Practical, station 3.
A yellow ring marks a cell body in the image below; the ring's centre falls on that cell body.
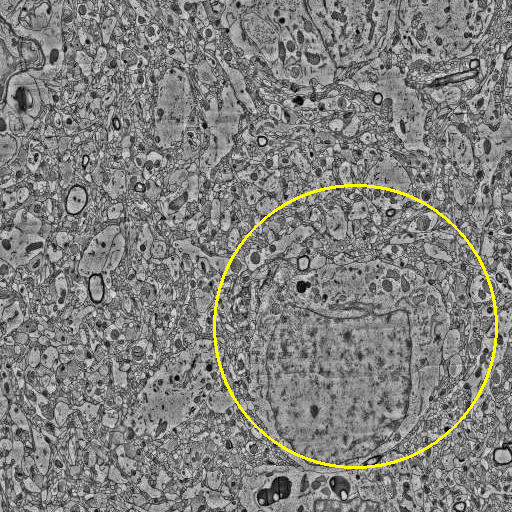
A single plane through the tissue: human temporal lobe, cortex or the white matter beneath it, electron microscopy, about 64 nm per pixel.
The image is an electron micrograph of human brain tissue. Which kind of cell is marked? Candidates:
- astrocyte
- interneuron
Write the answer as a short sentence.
The marked cell body is that of an interneuron.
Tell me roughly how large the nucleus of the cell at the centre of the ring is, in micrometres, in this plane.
Approximately 10 micrometres across in this plane.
